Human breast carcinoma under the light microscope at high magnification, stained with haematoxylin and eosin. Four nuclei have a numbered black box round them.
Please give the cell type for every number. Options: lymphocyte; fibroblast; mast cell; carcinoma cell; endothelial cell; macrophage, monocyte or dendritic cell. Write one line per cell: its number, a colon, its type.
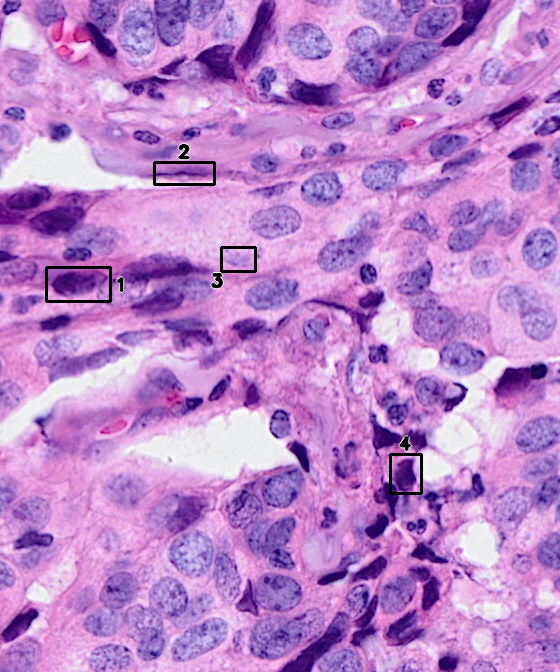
1: carcinoma cell
2: fibroblast
3: carcinoma cell
4: carcinoma cell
